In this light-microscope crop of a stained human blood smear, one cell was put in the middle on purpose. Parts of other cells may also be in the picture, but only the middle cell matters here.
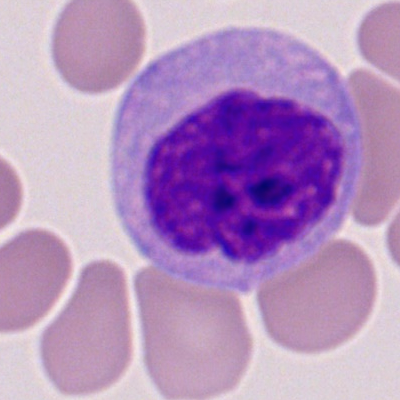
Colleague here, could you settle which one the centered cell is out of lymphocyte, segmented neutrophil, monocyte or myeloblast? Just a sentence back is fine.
The middle cell in this particular crop is a monocyte.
